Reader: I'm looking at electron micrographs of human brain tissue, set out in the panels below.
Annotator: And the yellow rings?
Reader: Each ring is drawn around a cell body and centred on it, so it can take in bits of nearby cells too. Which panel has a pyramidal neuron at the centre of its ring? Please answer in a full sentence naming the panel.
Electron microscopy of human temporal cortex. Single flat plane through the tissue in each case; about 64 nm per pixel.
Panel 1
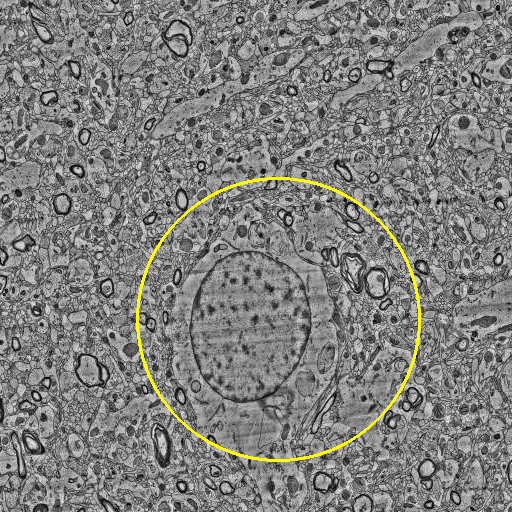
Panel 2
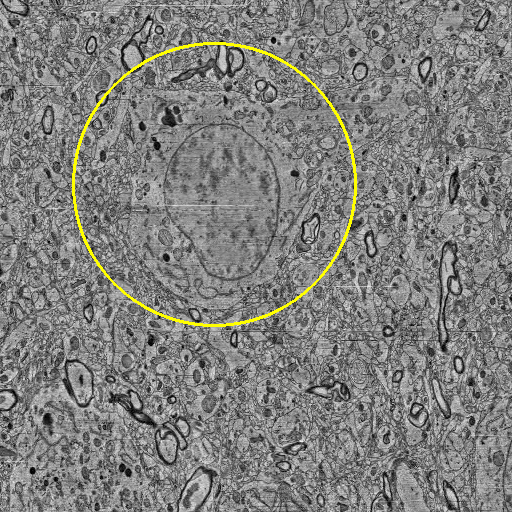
Panel 2 has it at the centre of its ring.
